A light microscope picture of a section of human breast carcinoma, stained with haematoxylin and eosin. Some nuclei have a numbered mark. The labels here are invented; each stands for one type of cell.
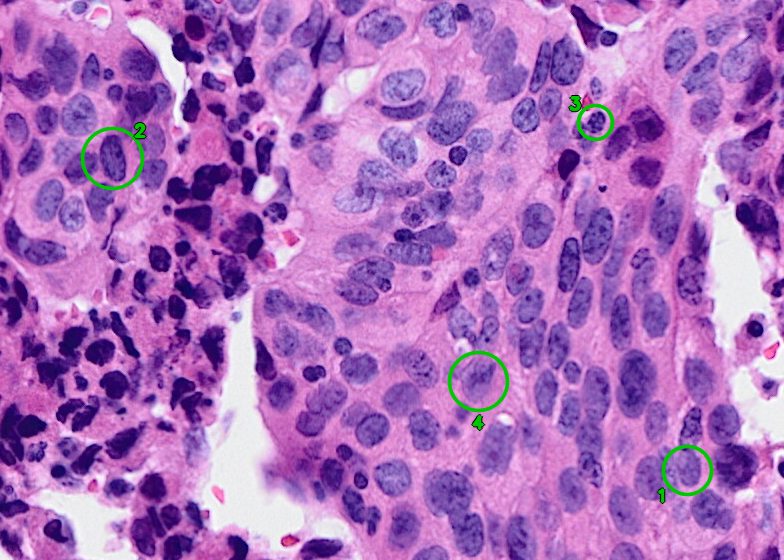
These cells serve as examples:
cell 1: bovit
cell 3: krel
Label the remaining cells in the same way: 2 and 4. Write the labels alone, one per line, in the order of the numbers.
bovit
bovit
